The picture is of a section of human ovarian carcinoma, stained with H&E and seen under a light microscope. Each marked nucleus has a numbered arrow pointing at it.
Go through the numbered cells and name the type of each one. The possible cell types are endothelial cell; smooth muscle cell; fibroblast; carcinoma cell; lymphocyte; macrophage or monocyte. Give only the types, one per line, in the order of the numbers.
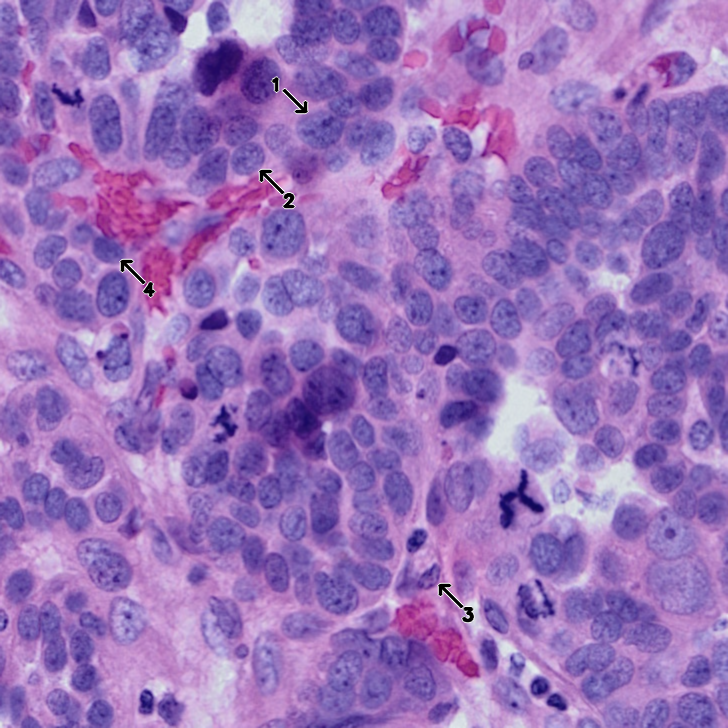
carcinoma cell
carcinoma cell
macrophage or monocyte
carcinoma cell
